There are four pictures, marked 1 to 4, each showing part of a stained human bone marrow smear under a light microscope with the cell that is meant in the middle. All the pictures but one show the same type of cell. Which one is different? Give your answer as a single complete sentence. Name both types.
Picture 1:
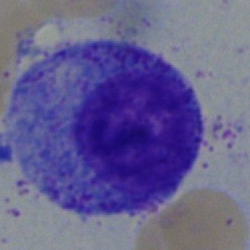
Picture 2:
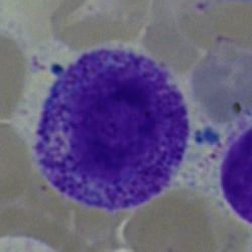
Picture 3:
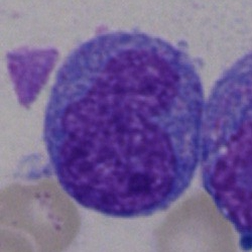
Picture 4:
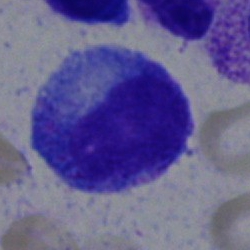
The others show myelocytes, but picture 3 shows a blast.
